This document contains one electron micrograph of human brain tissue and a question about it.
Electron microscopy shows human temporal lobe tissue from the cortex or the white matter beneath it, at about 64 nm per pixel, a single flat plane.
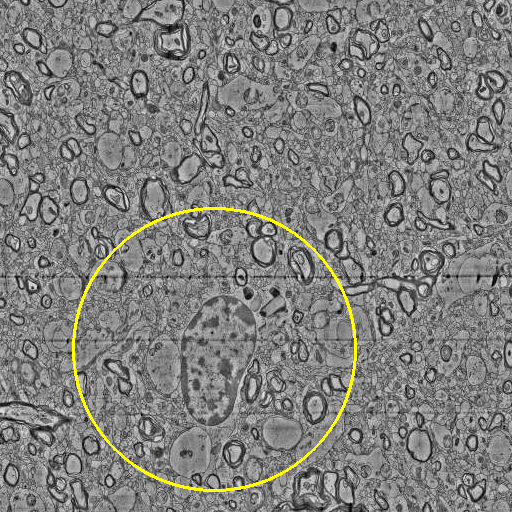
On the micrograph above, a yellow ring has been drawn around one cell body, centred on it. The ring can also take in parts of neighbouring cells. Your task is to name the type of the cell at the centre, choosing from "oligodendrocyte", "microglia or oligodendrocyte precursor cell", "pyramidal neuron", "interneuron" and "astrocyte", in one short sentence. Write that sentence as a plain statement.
Here the ring is centred on a microglial cell or oligodendrocyte precursor cell.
